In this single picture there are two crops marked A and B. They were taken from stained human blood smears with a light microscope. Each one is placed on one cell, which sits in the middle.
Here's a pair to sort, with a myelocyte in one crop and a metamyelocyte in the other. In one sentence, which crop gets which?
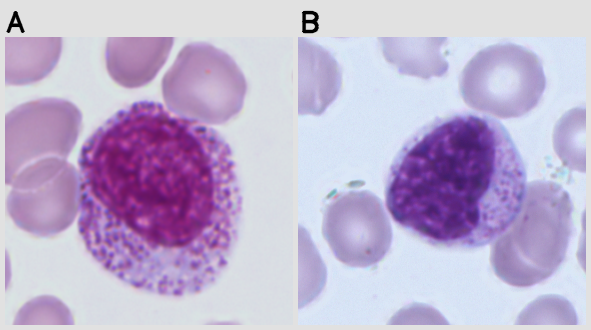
The crop marked A shows a myelocyte; the crop marked B shows a metamyelocyte.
